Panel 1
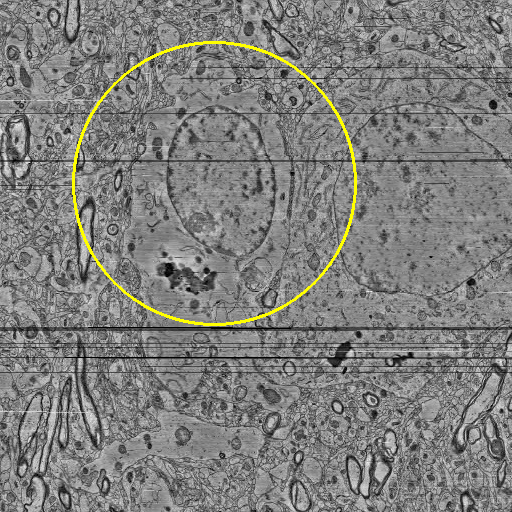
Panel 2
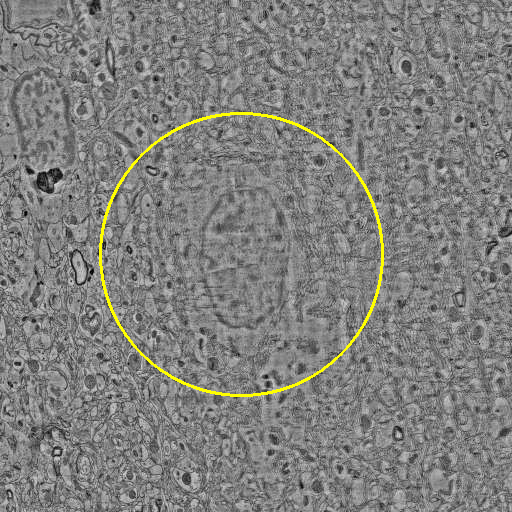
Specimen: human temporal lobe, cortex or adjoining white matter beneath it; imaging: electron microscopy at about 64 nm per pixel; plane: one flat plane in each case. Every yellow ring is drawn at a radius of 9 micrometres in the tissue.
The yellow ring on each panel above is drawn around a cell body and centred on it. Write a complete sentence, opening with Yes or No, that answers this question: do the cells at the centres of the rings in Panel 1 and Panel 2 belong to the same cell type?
Yes, both cells belong to the same cell type.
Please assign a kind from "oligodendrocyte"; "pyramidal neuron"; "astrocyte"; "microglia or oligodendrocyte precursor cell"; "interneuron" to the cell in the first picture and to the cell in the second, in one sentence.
Each cell at the centre of a ring is an astrocyte.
